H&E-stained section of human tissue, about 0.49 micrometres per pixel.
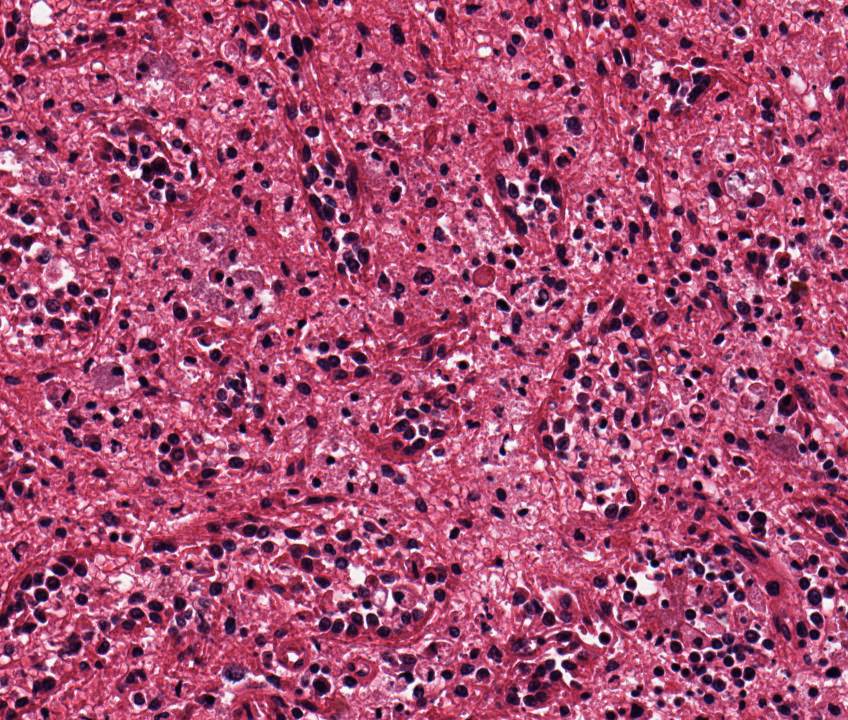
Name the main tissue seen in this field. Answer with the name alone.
red pulp of the spleen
